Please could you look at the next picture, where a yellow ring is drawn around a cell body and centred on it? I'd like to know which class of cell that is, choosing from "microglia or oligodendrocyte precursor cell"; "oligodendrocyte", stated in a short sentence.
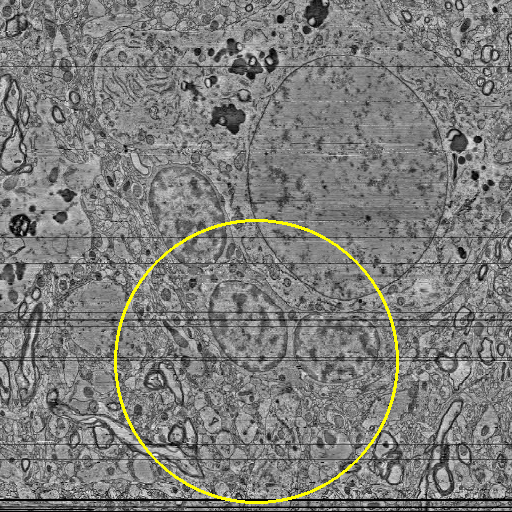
The ring's centre lies on an oligodendrocyte.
